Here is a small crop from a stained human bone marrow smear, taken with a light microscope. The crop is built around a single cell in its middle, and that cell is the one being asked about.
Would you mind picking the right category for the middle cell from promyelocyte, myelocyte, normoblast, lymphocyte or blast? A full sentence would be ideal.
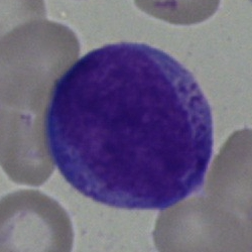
The center cell of this crop is a blast.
